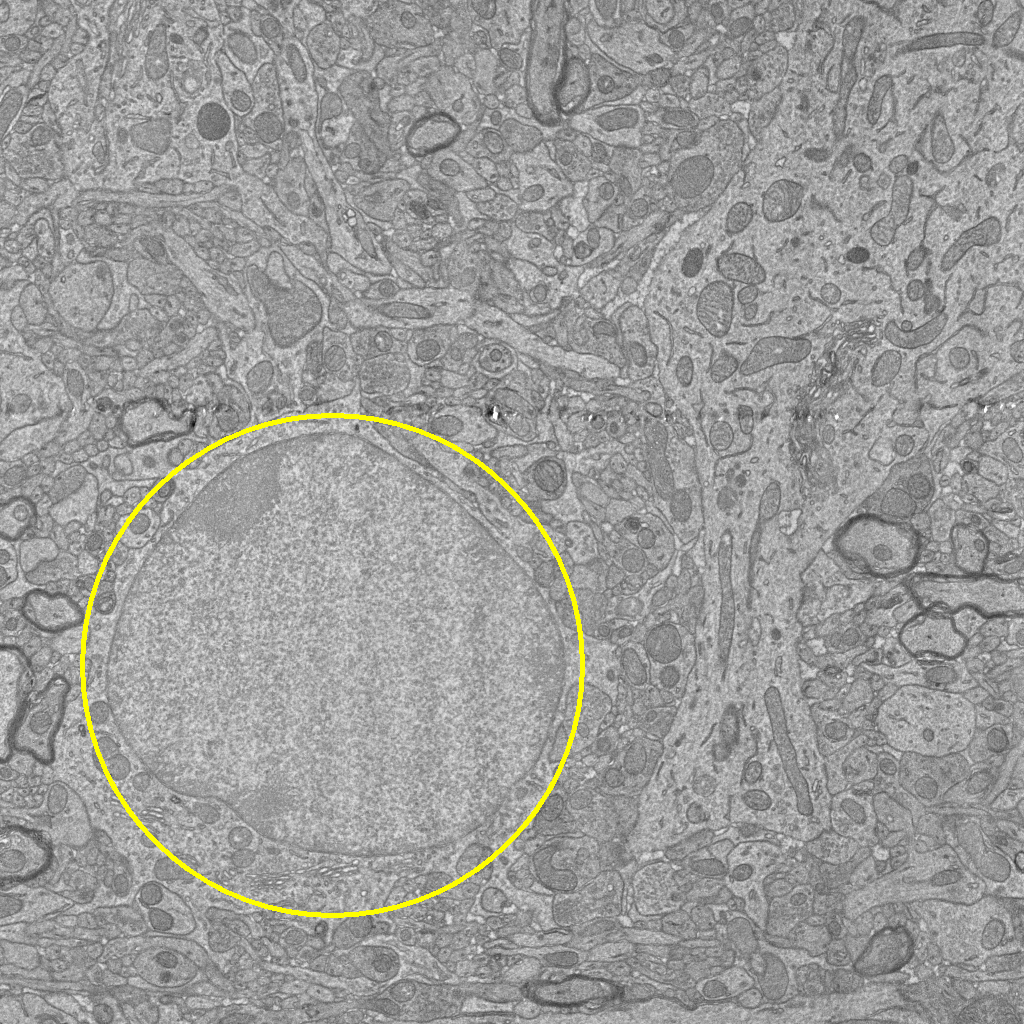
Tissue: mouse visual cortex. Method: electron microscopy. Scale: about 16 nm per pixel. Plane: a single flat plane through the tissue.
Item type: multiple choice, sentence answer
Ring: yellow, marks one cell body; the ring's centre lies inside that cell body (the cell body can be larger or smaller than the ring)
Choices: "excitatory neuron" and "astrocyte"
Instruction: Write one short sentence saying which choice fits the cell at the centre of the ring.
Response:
The centre of this ring lies on an astrocyte.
